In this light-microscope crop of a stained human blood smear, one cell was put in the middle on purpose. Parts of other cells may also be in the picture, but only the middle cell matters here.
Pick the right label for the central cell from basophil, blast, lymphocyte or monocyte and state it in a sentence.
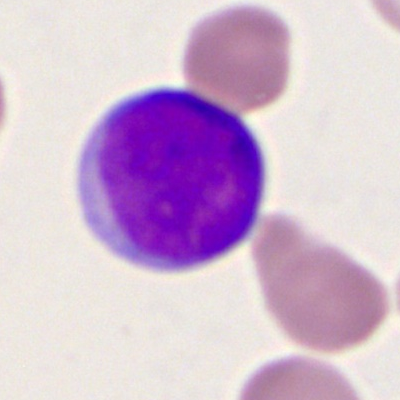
Positioned in the middle of the crop is a blast.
